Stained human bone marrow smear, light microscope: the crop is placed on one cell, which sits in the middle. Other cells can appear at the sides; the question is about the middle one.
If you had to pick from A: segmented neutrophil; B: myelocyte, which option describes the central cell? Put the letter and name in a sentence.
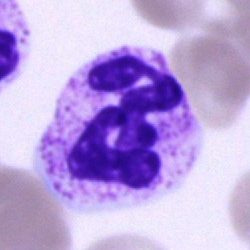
Here the central cell is a segmented neutrophil, and option A is correct.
